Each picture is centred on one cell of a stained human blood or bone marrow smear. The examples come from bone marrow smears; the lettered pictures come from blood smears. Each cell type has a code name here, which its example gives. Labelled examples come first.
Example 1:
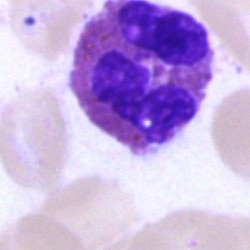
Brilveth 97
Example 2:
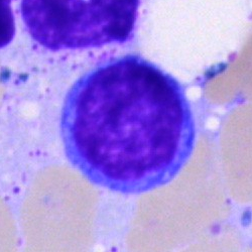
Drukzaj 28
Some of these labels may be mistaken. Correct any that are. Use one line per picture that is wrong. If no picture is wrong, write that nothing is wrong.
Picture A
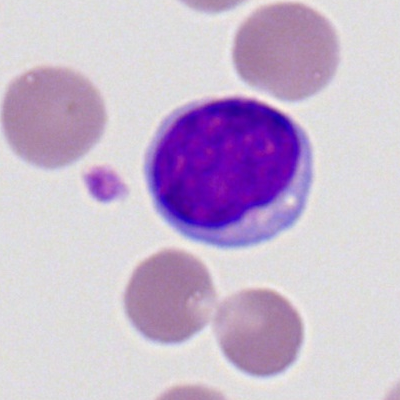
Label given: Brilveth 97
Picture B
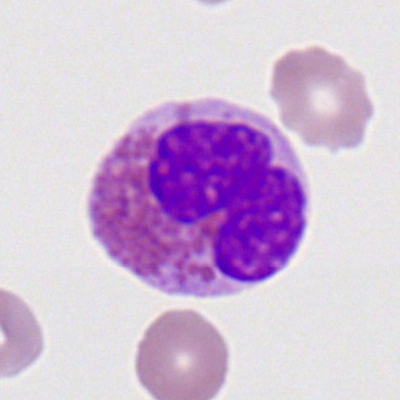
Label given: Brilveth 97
A: change Brilveth 97 to Drukzaj 28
